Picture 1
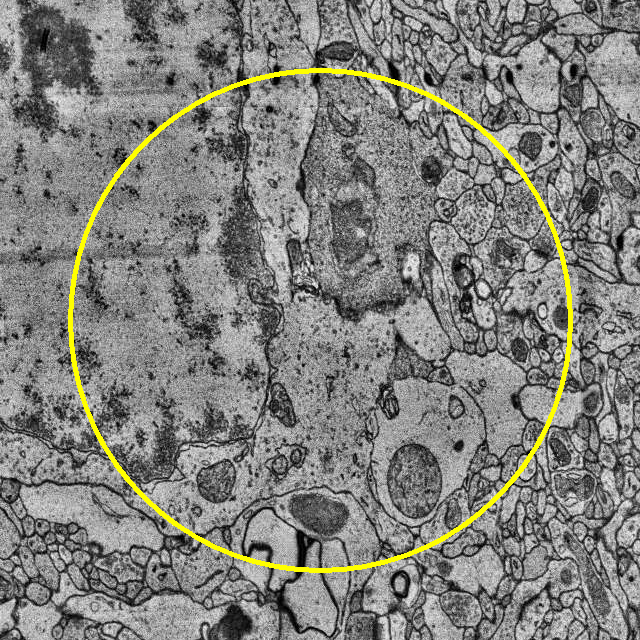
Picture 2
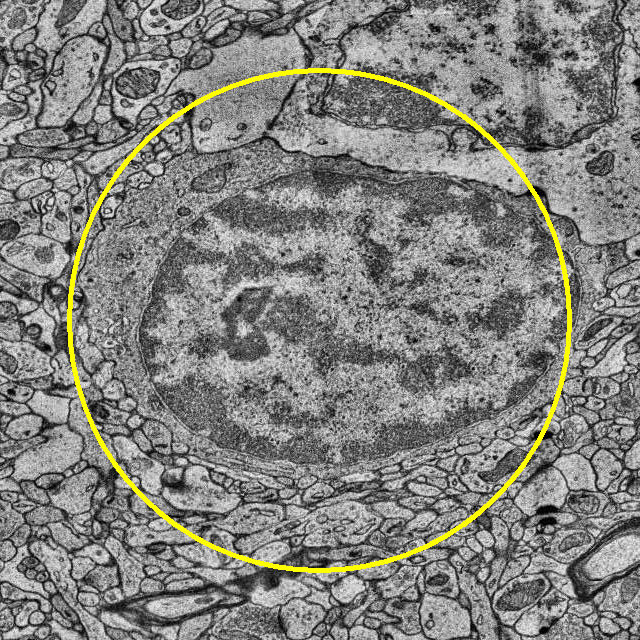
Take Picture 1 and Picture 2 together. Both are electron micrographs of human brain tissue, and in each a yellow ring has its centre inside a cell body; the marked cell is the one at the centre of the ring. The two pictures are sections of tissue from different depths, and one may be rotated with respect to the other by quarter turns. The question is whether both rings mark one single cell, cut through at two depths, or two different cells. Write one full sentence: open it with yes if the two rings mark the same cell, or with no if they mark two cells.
Yes, the cell marked in each ring is one and the same.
